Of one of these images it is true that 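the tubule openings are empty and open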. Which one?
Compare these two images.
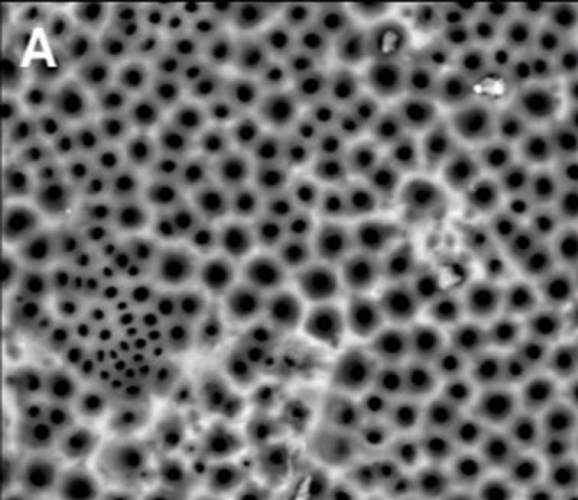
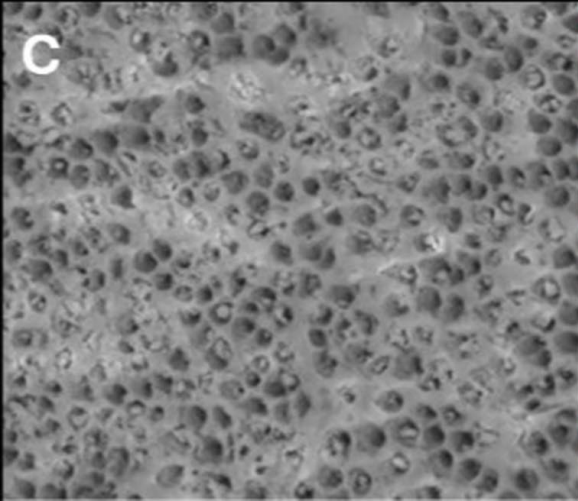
The first image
